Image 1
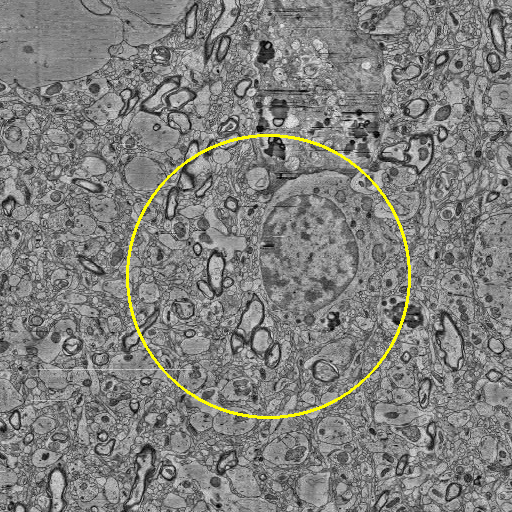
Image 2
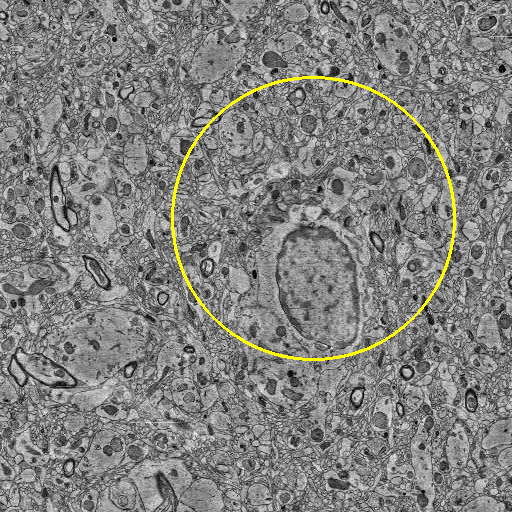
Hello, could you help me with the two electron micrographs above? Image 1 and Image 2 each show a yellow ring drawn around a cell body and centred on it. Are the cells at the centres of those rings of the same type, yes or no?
no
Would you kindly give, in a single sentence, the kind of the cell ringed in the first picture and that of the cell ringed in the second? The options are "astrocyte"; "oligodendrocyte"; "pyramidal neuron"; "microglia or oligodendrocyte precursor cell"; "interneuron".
The second cell is a microglial cell or oligodendrocyte precursor cell, and the first cell is an oligodendrocyte.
